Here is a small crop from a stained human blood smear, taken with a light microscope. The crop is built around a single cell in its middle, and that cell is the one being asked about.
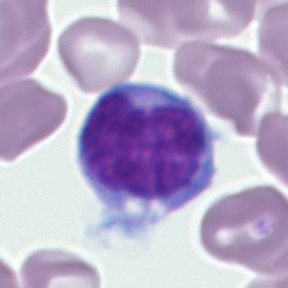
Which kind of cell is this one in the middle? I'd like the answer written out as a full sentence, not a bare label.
The middle of this crop holds a monocyte.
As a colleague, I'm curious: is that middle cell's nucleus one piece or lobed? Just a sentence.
Worth pointing out that its nucleus is one compact mass, round, oval or reniform.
